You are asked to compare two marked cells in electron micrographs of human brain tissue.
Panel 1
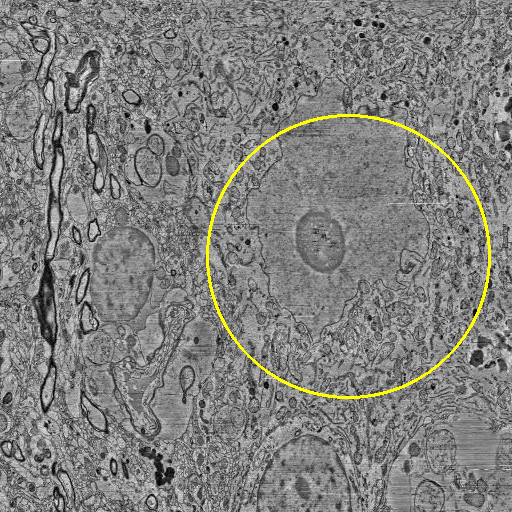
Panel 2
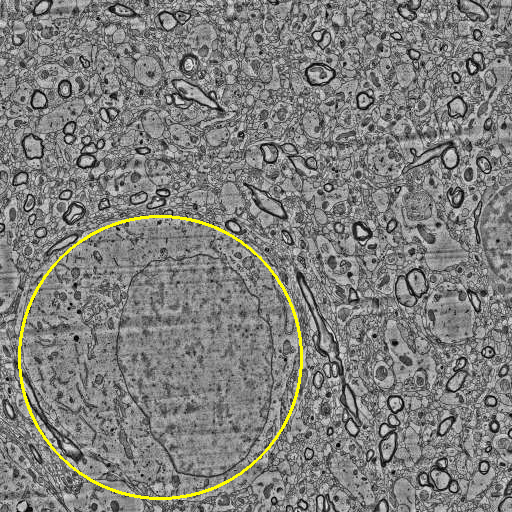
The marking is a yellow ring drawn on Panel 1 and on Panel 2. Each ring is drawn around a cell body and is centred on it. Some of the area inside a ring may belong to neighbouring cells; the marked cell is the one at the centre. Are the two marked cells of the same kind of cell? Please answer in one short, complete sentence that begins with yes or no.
Yes, the two marked cells are of the same kind.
